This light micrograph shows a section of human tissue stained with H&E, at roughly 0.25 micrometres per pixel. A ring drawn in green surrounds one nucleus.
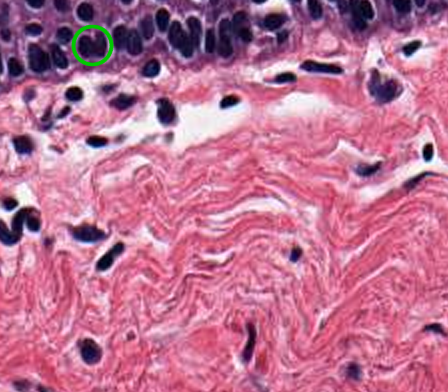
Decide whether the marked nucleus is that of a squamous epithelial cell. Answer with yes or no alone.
yes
